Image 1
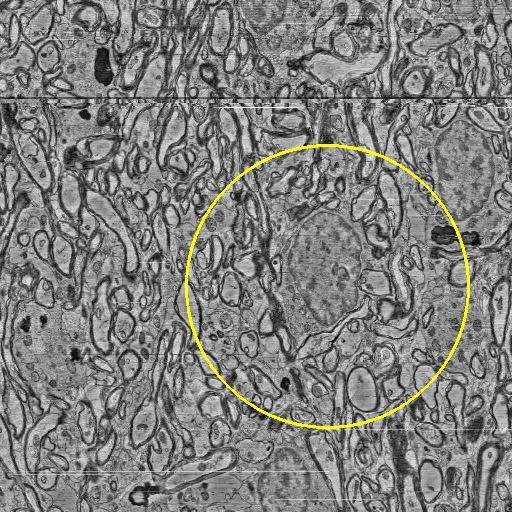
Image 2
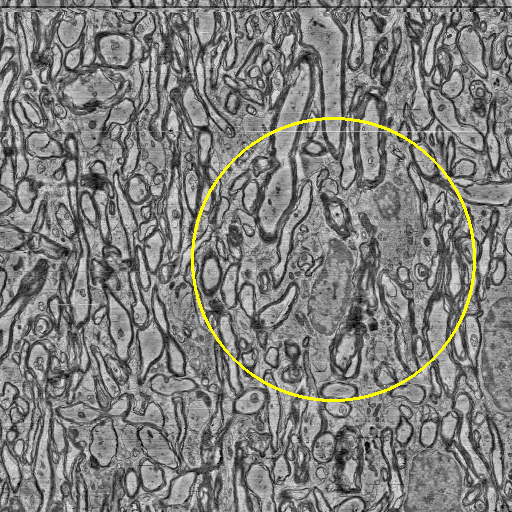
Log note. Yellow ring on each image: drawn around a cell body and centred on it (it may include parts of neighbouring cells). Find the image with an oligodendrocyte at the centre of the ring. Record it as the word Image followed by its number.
Image 1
